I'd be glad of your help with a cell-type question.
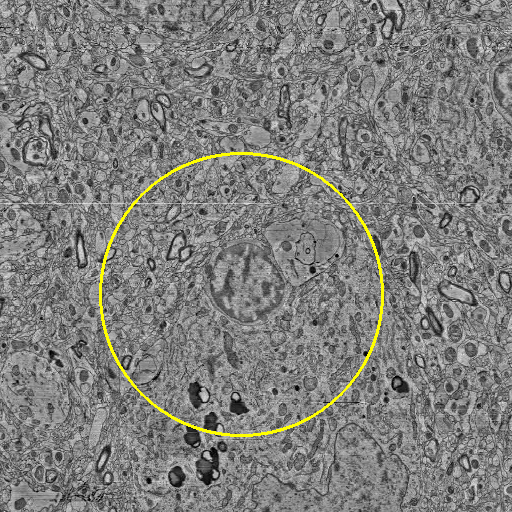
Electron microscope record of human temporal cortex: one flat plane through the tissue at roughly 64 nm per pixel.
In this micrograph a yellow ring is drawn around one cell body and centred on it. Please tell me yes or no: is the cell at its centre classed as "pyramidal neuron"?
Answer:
no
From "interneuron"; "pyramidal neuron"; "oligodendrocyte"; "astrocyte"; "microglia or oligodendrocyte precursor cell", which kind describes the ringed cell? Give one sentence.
The cell in the ring is an oligodendrocyte instead.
